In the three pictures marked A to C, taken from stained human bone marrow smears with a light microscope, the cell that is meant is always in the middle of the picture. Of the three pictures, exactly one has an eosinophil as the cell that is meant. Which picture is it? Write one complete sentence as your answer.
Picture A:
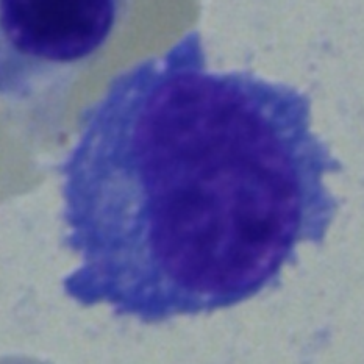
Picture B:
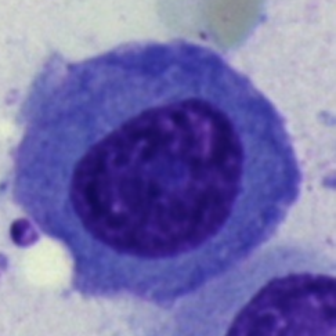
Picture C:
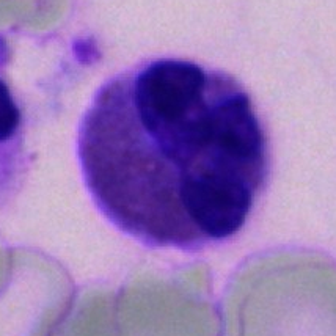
The eosinophil is the one in picture C.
